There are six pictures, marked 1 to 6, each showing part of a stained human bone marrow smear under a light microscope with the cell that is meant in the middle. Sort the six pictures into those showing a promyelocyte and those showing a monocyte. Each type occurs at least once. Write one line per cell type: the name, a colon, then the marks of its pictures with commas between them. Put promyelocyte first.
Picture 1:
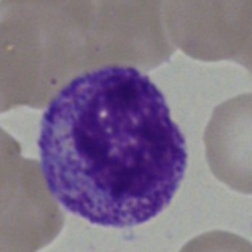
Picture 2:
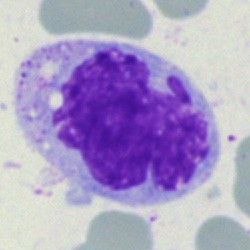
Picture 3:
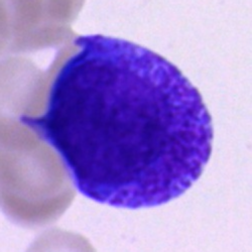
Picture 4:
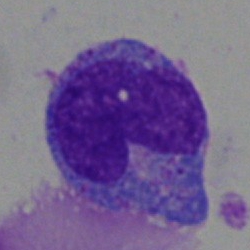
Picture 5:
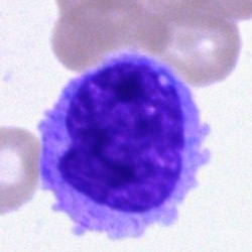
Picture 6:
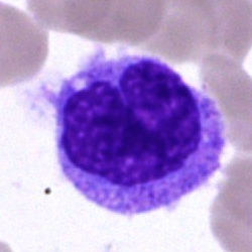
promyelocyte: 1, 3
monocyte: 2, 4, 5, 6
